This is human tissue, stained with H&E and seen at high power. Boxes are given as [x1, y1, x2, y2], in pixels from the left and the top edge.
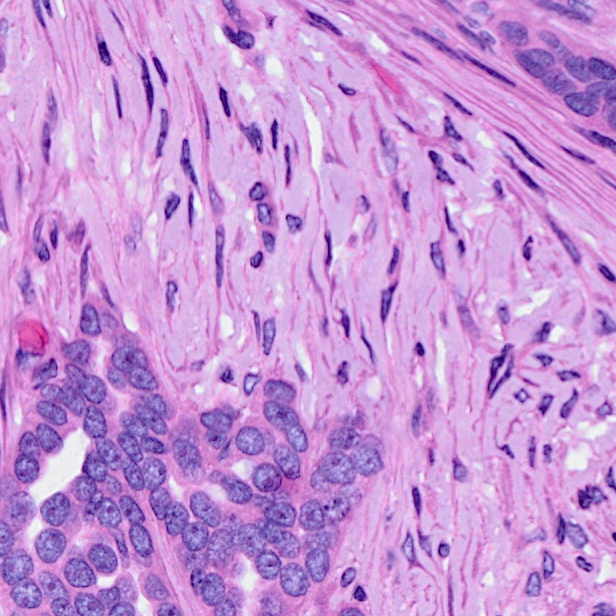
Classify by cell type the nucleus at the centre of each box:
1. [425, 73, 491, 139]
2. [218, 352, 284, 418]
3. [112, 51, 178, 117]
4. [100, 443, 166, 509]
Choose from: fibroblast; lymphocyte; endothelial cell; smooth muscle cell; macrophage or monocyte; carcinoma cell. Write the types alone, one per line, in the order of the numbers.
fibroblast
fibroblast
fibroblast
carcinoma cell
